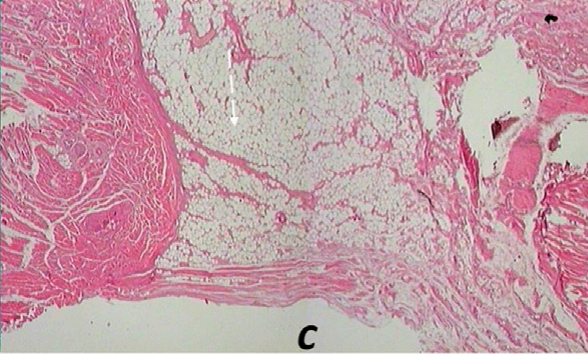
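Skeletal muscle stumps on either side are separated by a wide zone of fat tissue. The central zone consists of many large, clear, thin-walled fat cells with pink fibrous strands running among them. Bundles of pink muscle fibres in cross and oblique section border the fat on the left and right. A band of denser pink fibrous tissue runs along the lower edge.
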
